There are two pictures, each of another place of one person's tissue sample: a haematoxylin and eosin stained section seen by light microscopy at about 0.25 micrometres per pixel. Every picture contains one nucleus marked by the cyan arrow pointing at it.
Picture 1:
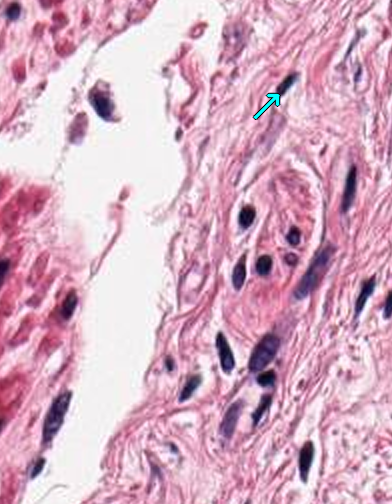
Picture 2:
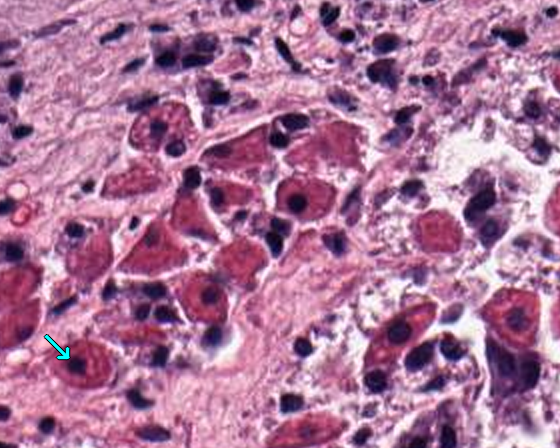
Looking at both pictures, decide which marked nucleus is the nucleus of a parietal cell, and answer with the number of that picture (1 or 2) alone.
2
